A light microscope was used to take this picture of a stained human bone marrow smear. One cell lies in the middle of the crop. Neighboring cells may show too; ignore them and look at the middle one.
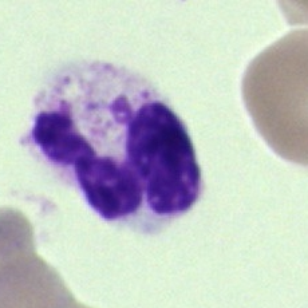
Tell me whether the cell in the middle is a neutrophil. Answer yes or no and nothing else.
yes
